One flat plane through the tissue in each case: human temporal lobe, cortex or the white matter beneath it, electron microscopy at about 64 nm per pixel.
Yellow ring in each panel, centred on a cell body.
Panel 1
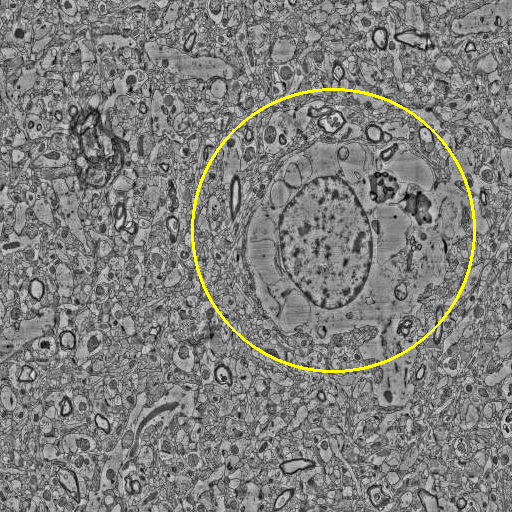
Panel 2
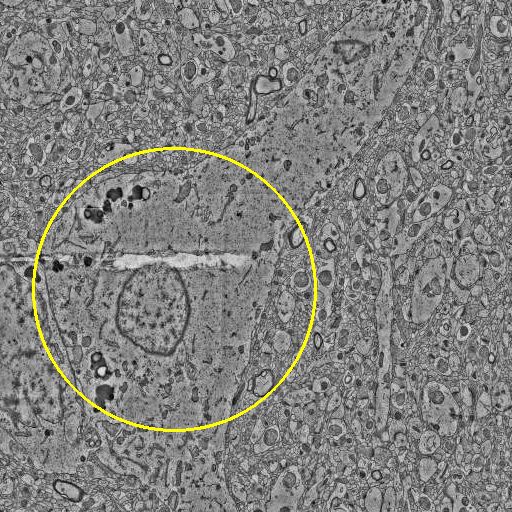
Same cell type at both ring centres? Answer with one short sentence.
No, the two cells are of two types.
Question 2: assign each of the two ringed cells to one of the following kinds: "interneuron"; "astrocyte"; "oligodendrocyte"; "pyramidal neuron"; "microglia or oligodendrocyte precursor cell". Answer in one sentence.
The two cells are an astrocyte in the first picture and a pyramidal neuron in the second.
